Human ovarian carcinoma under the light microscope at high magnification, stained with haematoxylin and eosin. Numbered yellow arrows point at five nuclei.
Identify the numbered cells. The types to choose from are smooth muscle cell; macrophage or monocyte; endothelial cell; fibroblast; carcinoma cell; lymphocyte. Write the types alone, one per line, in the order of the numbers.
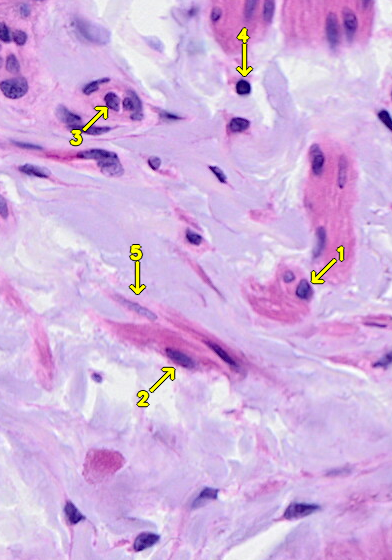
smooth muscle cell
smooth muscle cell
endothelial cell
lymphocyte
smooth muscle cell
